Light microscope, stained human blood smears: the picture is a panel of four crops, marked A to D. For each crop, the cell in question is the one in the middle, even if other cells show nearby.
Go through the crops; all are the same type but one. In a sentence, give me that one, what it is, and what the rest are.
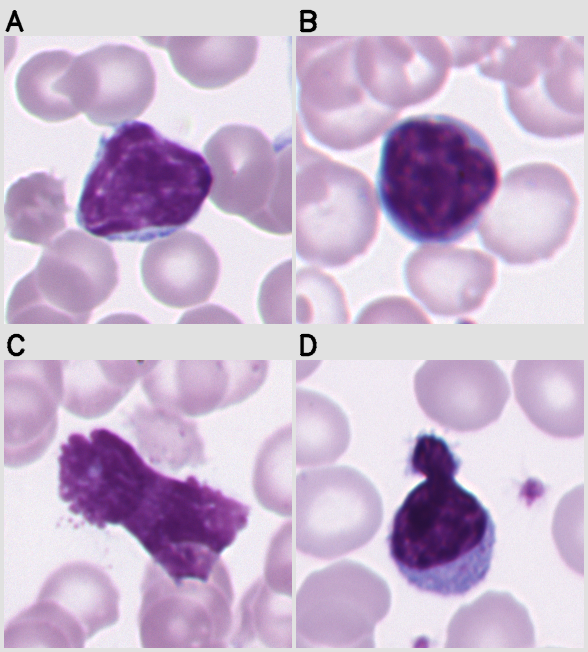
The crop that differs is C, which is a smudge cell; the rest are typical lymphocytes.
